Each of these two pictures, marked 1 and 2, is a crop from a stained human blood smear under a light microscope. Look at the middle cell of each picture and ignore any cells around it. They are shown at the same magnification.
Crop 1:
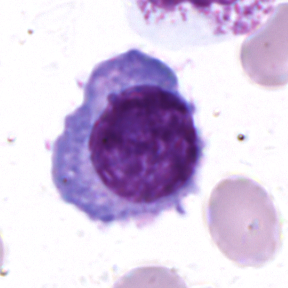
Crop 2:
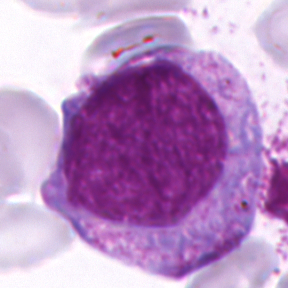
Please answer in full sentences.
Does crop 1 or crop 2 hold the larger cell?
It is the cell in crop 2, about 2 times as large in area as the cell in crop 1.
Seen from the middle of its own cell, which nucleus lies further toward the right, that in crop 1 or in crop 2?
The nucleus in crop 1 lies further toward the right of its cell.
